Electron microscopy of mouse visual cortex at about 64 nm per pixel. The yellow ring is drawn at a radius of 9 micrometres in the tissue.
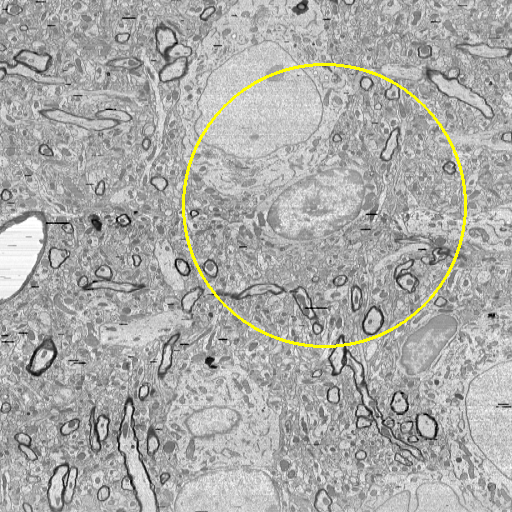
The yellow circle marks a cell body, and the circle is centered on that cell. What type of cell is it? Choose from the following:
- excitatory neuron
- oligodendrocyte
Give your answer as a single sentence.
This cell body belongs to an oligodendrocyte.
